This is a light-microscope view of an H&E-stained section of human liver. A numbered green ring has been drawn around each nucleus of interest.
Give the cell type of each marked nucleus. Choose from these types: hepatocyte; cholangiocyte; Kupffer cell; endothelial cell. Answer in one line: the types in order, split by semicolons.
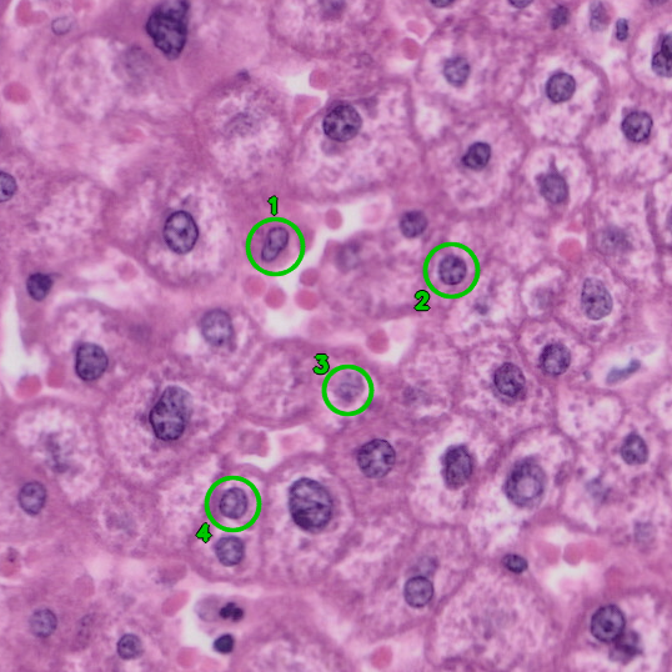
Kupffer cell; hepatocyte; hepatocyte; hepatocyte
